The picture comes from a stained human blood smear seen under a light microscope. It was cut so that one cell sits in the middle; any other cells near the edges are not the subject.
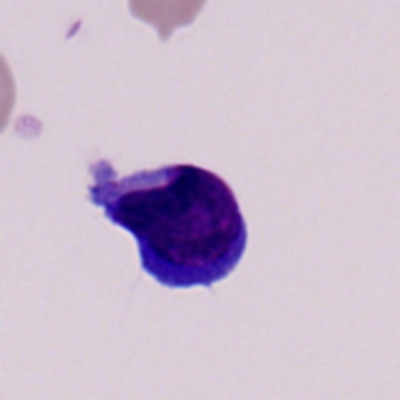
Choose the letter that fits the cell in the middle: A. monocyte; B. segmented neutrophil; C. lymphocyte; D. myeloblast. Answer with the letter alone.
C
